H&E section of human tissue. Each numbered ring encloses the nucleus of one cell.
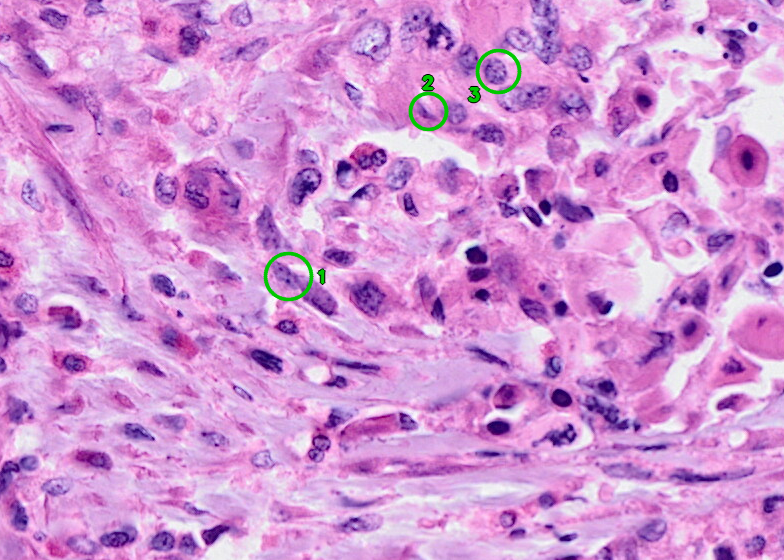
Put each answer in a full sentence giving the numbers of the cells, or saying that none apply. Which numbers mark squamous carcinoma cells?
The cells assigned the numbers 2 and 3 are squamous carcinoma cells.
